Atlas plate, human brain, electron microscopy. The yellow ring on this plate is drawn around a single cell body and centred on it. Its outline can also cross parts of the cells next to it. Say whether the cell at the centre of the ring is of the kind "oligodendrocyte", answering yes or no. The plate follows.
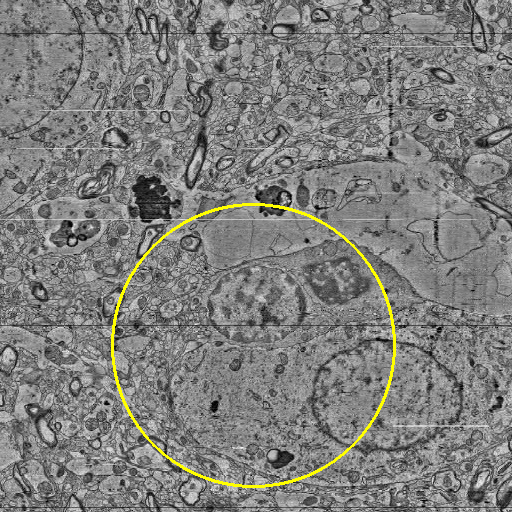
Yes, the cell is of that kind.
